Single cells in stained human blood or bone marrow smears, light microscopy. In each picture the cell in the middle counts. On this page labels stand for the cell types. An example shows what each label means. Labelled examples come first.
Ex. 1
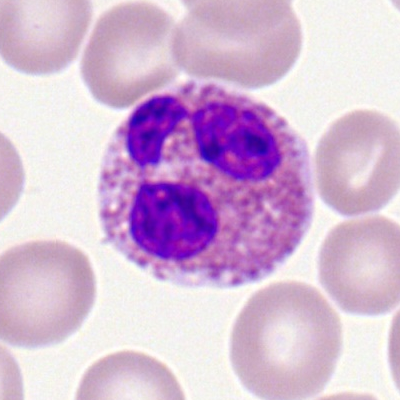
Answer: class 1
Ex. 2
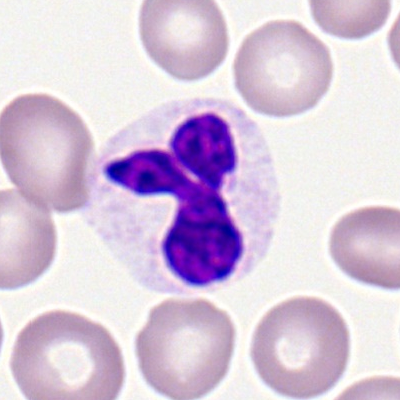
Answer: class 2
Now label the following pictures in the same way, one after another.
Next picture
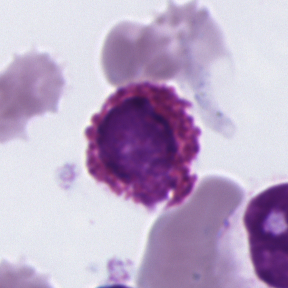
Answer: class 1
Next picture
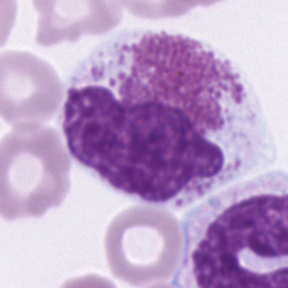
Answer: class 1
